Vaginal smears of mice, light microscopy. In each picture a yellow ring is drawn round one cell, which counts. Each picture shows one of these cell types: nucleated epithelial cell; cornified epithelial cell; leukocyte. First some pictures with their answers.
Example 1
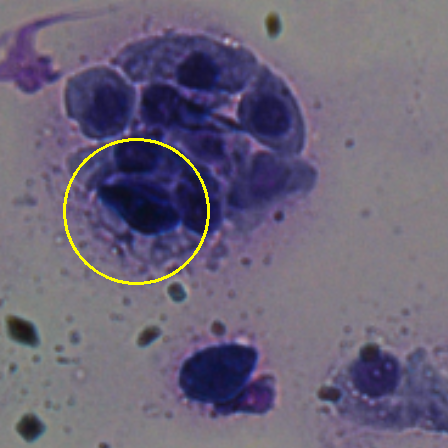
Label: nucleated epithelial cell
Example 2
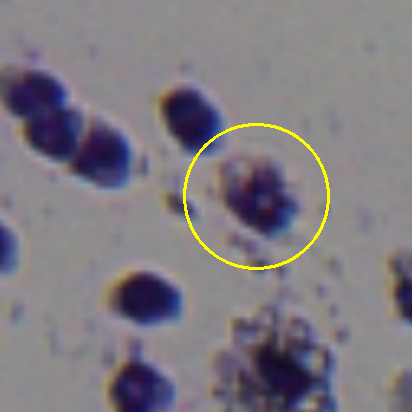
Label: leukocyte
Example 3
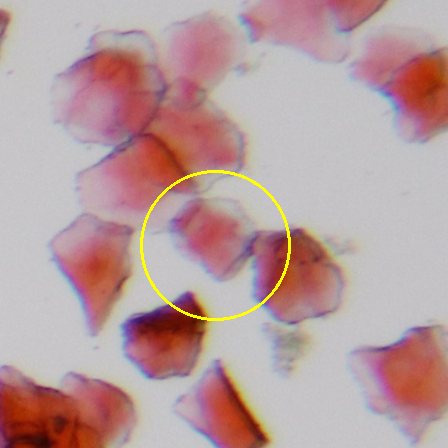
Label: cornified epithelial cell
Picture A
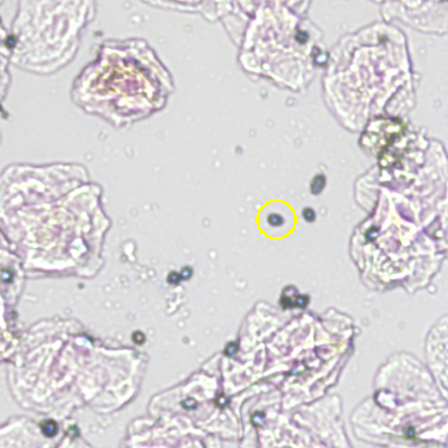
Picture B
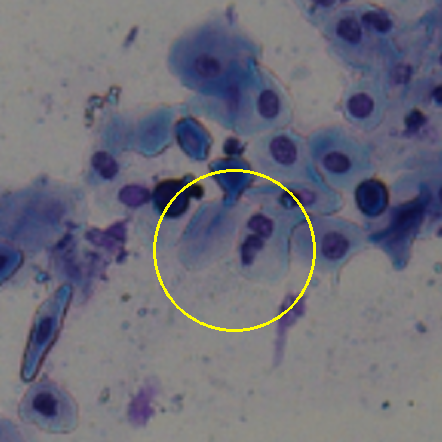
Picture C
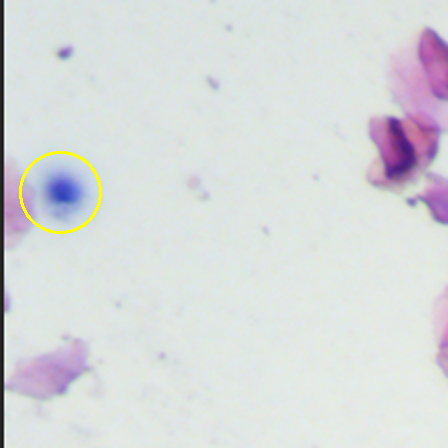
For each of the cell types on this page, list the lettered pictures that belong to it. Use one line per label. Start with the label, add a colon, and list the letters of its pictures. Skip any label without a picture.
nucleated epithelial cell: B
leukocyte: A, C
